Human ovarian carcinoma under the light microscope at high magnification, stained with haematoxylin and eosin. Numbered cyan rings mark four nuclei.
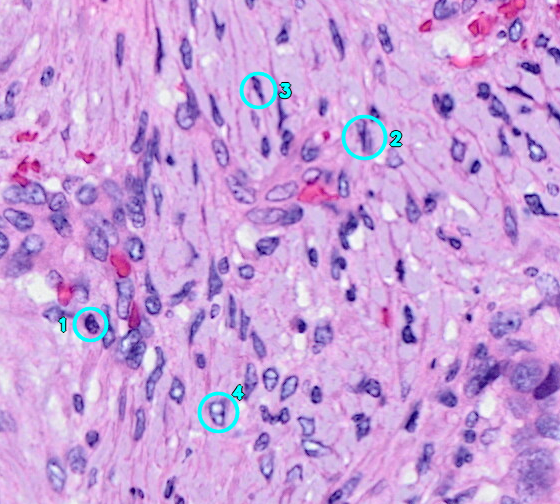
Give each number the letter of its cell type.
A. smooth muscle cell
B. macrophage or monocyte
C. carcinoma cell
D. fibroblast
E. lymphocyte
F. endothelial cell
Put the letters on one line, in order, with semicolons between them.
E; D; D; D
